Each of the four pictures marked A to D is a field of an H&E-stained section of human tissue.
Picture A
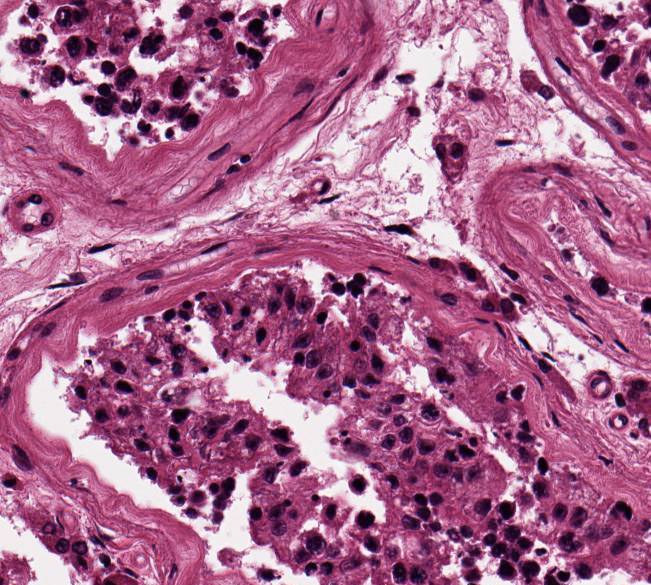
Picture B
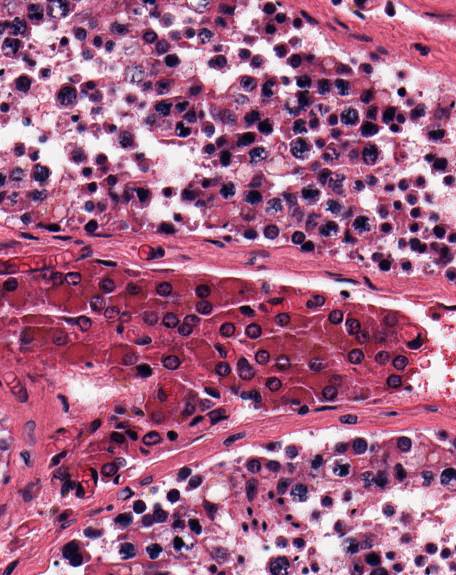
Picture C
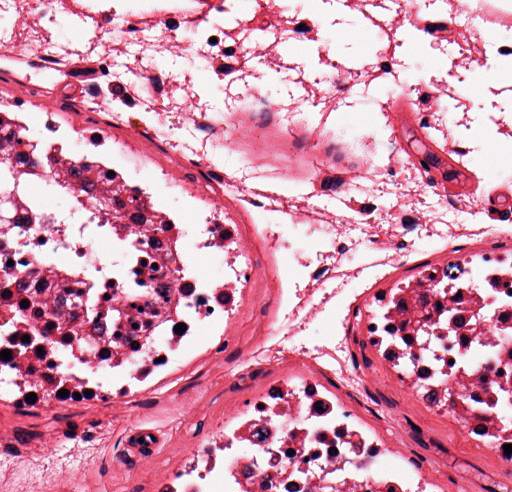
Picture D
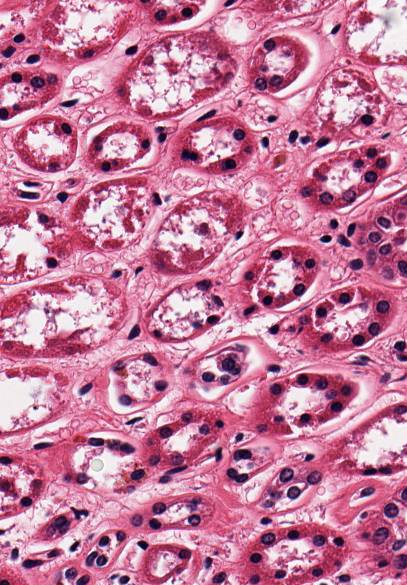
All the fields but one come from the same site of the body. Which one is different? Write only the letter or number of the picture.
D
